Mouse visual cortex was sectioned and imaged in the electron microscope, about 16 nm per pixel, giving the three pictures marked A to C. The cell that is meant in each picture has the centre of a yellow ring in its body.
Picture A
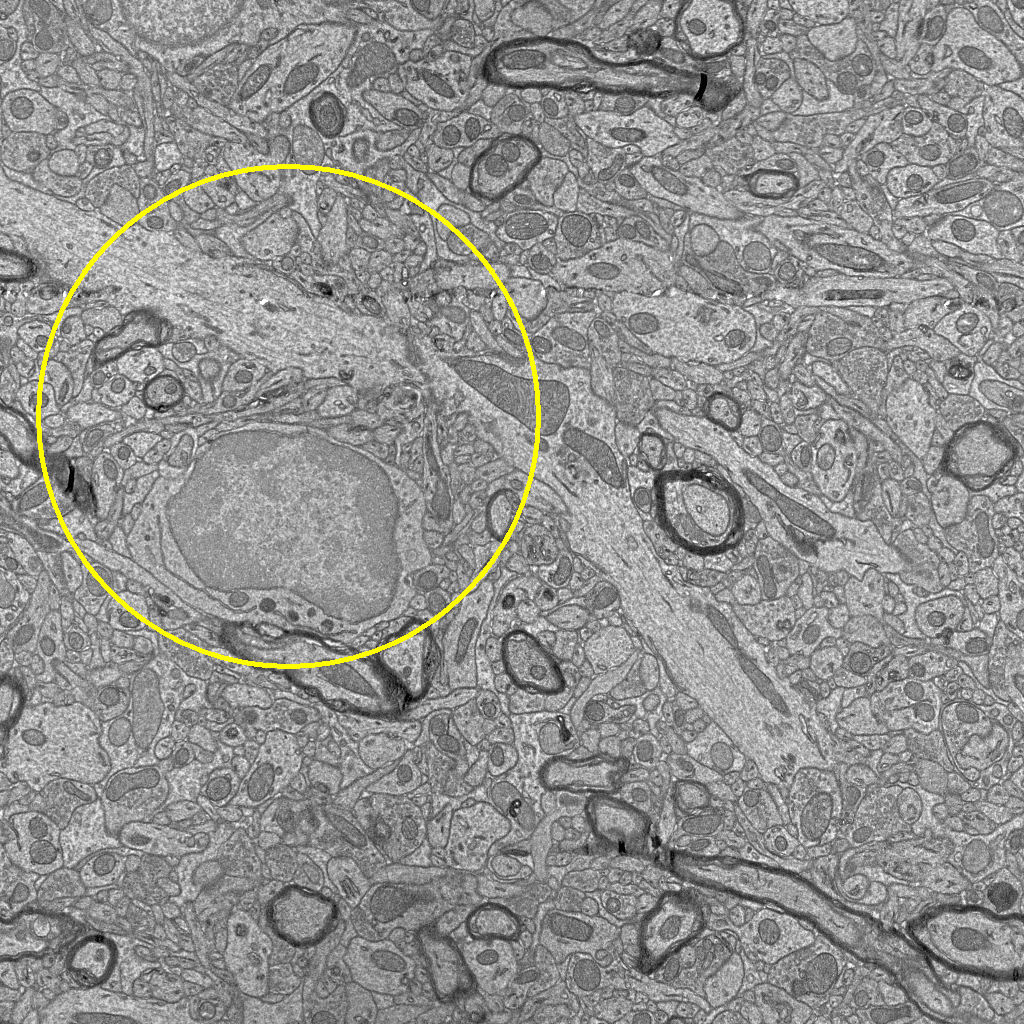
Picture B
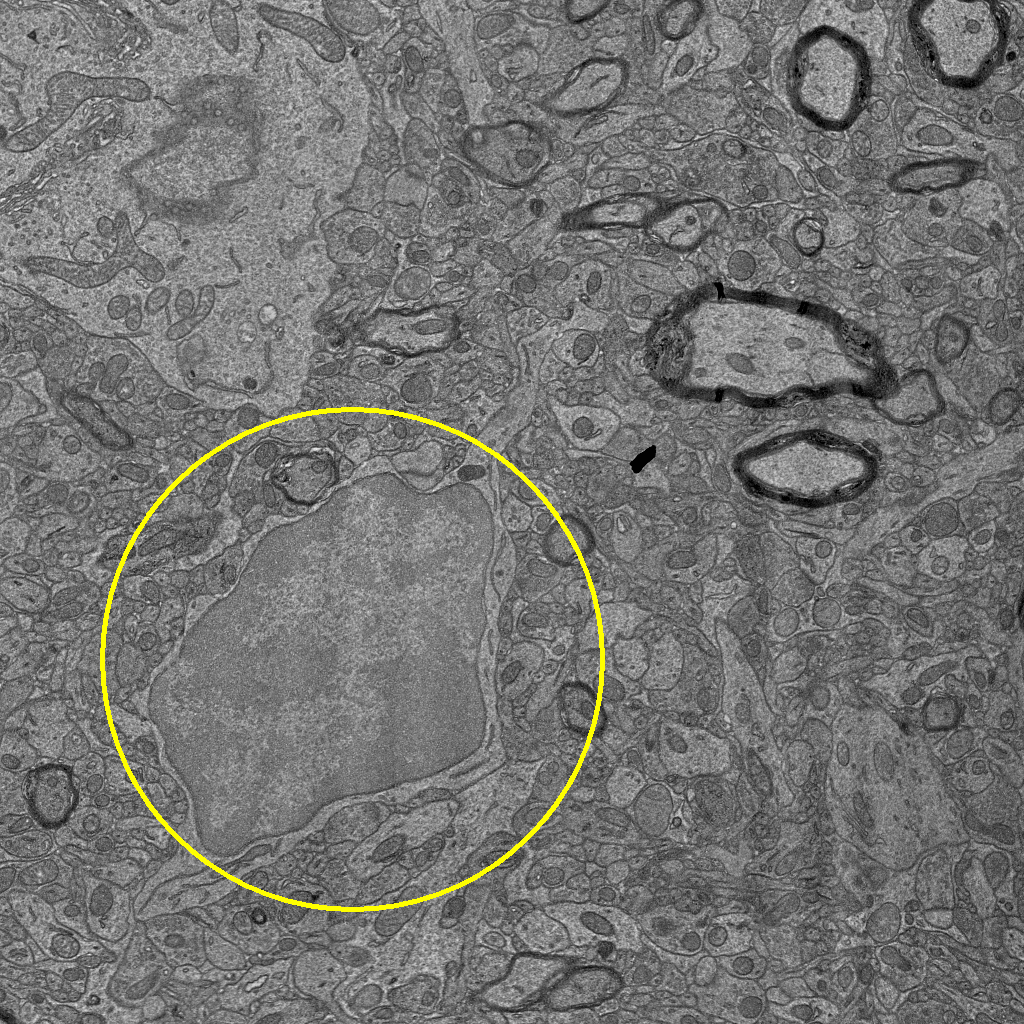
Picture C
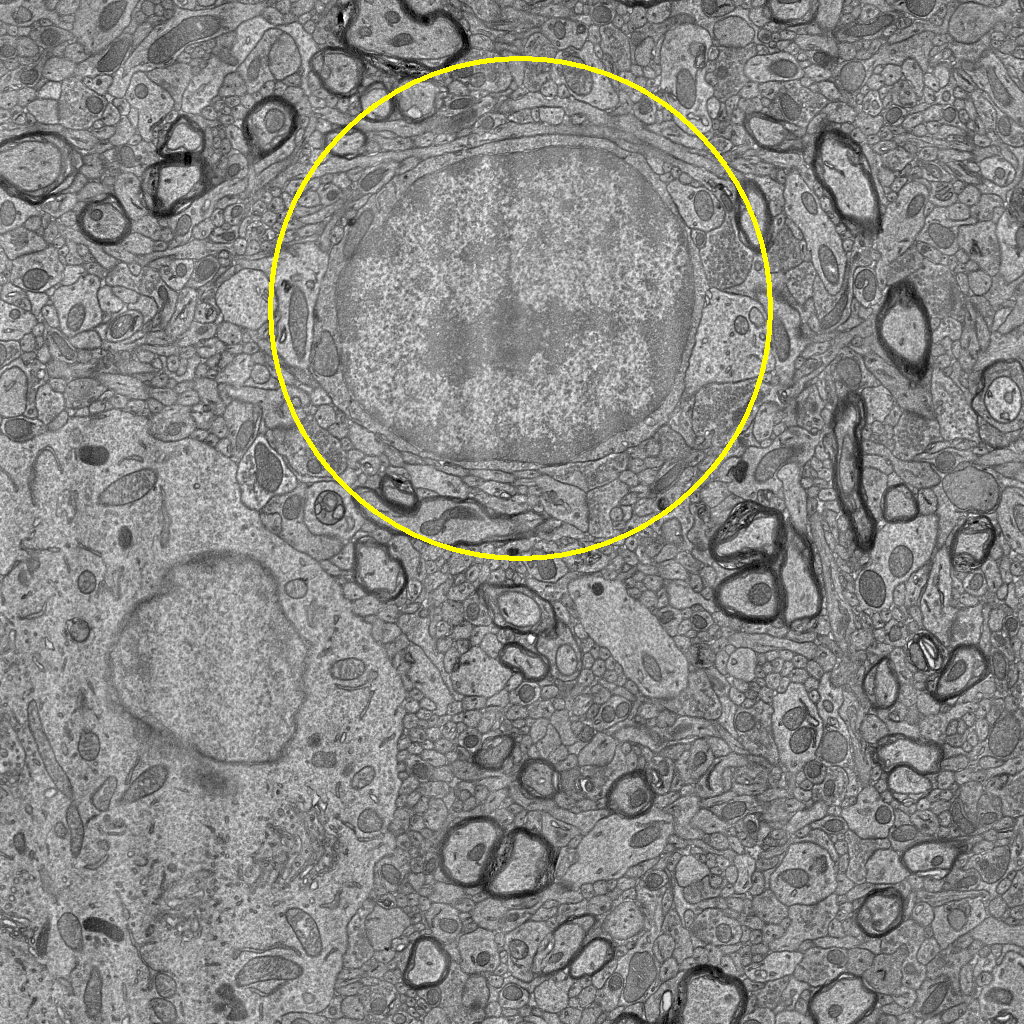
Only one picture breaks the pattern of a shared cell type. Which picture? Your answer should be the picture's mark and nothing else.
C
